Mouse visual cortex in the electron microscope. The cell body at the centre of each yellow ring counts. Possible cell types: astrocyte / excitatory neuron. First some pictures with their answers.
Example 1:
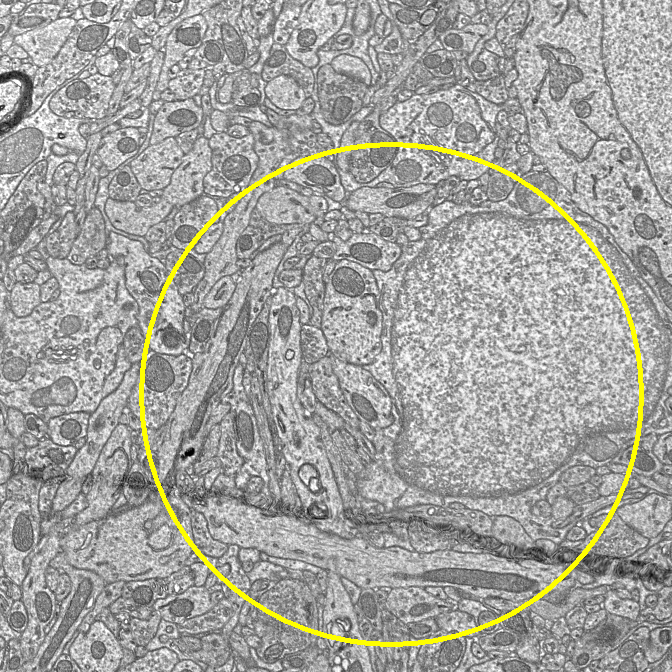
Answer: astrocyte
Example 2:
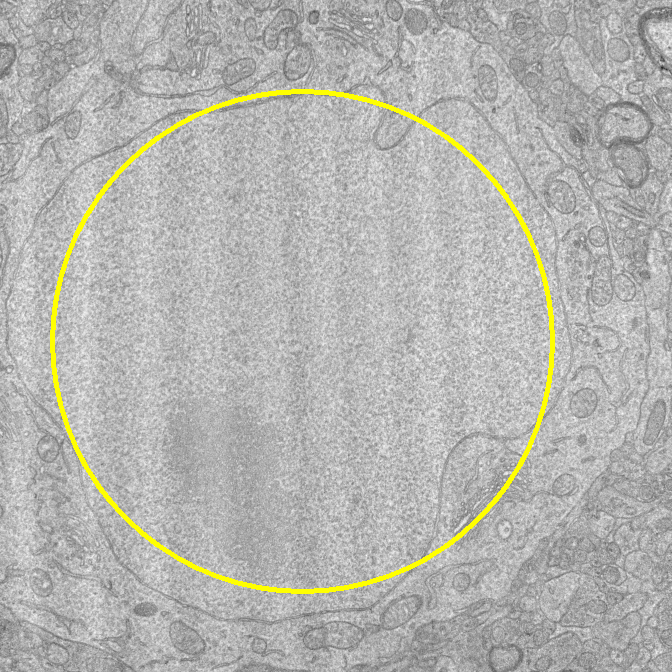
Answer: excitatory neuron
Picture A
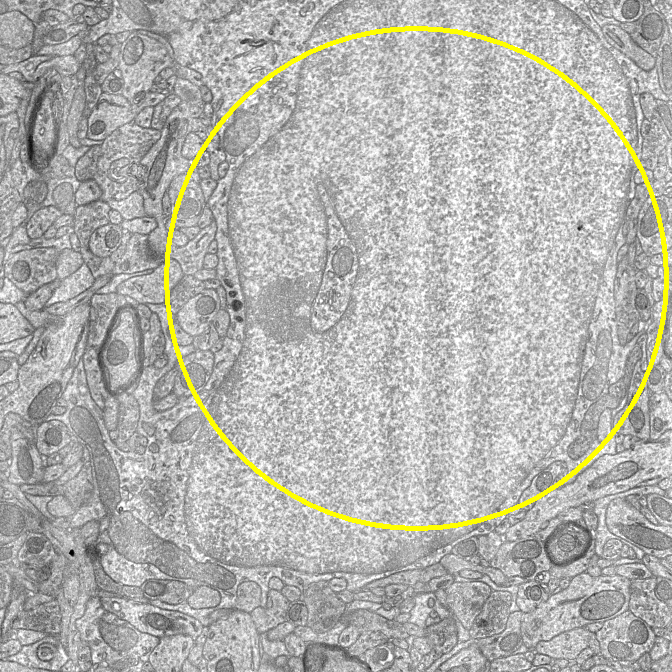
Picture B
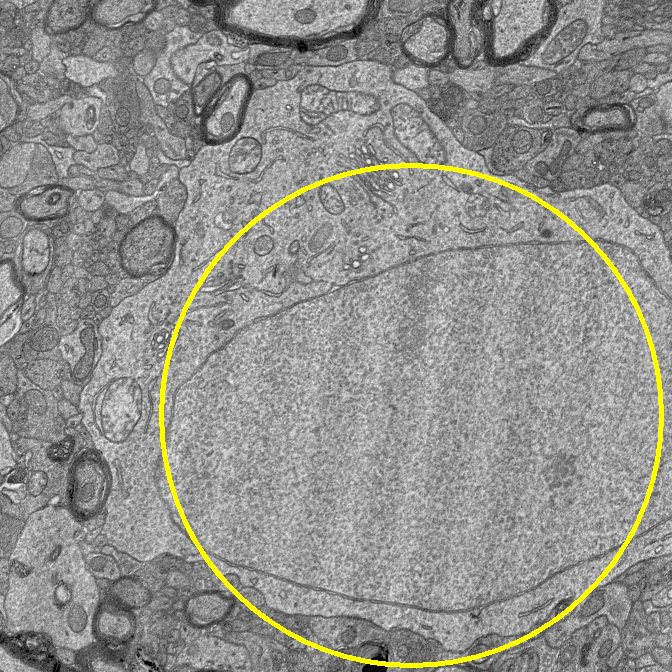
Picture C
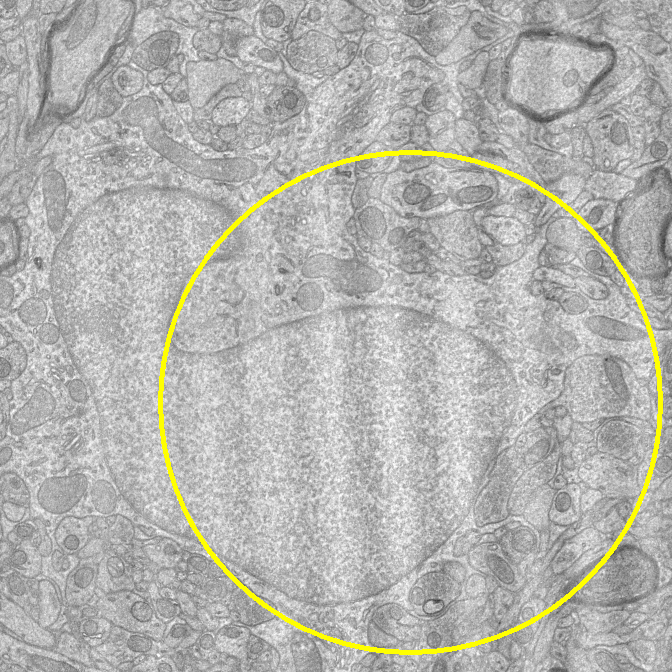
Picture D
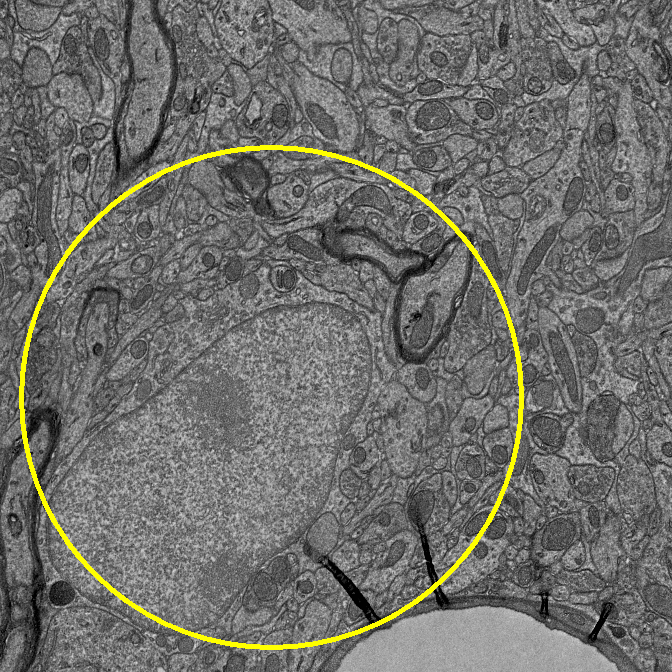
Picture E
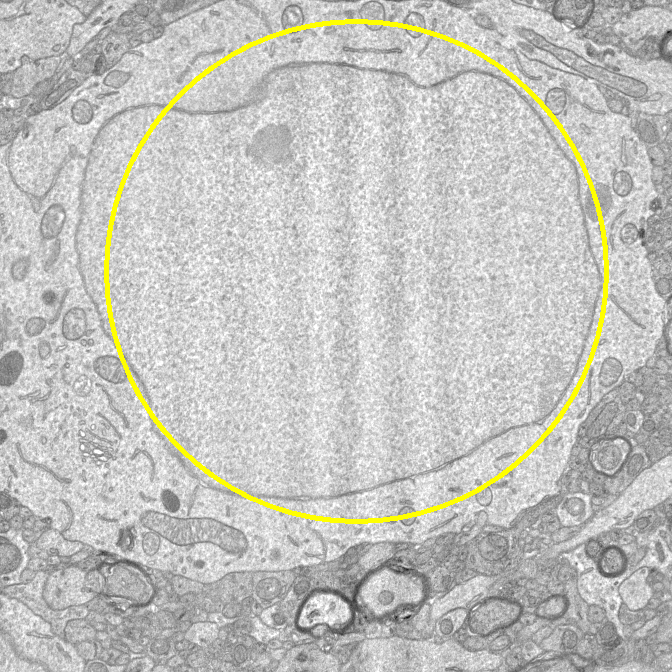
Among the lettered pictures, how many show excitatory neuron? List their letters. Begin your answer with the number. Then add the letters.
2, namely B, E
